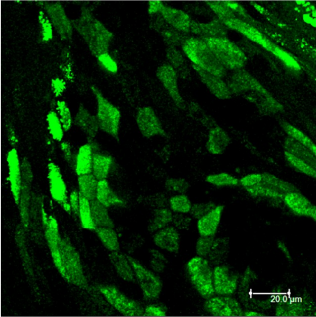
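The cells are rounded to elongated, with many lying obliquely in roughly parallel streaks across the field. Staining intensity varies, some cells bright and others dim, and a few show a speckled, granular pattern. Dark, unstained areas lie between the green cells.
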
